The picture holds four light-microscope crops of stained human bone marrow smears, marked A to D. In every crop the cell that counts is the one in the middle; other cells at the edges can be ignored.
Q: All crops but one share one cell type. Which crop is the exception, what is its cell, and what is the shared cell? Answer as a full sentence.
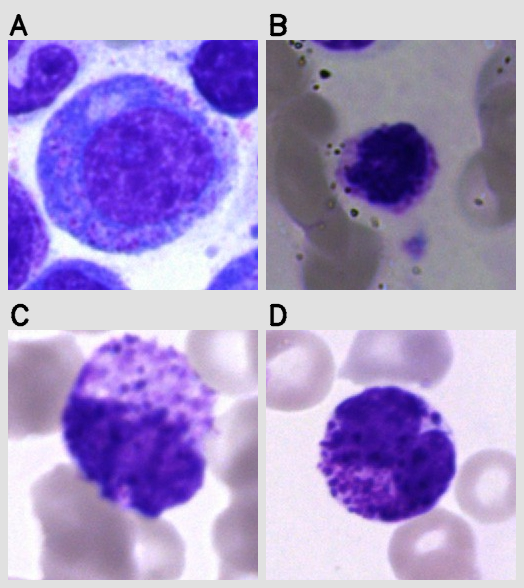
Unlike the other crops, all showing basophils, crop A is a promyelocyte.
